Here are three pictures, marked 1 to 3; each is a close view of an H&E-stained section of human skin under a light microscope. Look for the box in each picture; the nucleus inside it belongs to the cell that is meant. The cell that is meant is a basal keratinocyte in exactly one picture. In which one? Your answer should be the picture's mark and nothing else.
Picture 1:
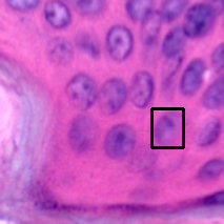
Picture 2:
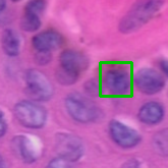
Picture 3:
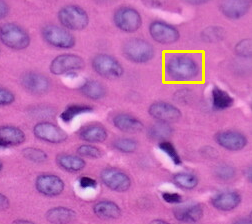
2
